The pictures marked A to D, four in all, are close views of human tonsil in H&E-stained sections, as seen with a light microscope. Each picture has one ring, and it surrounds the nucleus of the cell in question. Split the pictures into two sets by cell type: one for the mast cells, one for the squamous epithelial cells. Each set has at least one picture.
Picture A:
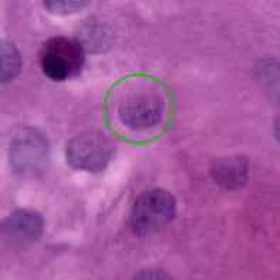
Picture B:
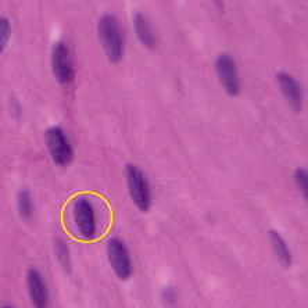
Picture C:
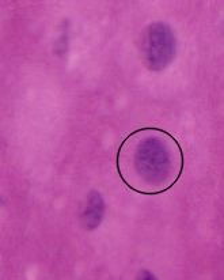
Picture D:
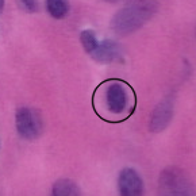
A: squamous epithelial cell
B: squamous epithelial cell
C: squamous epithelial cell
D: mast cell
